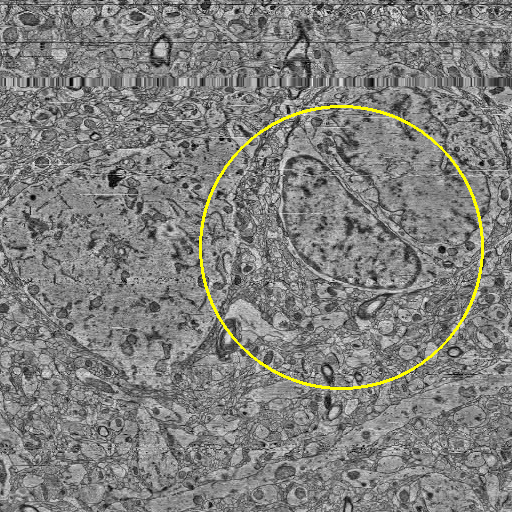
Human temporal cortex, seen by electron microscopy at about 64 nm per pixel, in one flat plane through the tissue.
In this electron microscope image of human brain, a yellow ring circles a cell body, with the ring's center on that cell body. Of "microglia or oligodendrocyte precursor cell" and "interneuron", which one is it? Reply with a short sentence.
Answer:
It is a microglial cell or oligodendrocyte precursor cell at the center of the ring.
